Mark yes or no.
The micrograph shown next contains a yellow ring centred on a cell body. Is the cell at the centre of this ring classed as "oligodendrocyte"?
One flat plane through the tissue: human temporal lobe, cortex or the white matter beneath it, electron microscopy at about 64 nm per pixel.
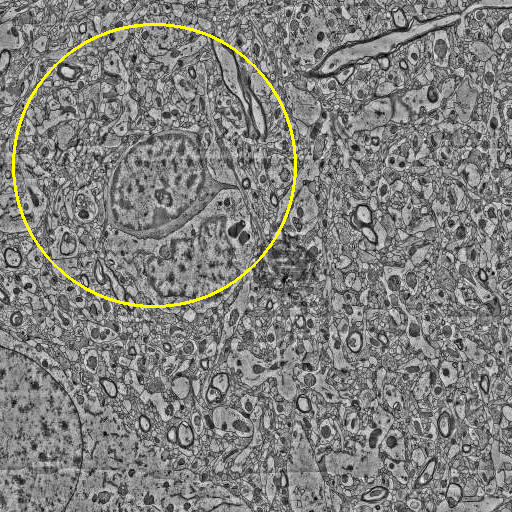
yes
